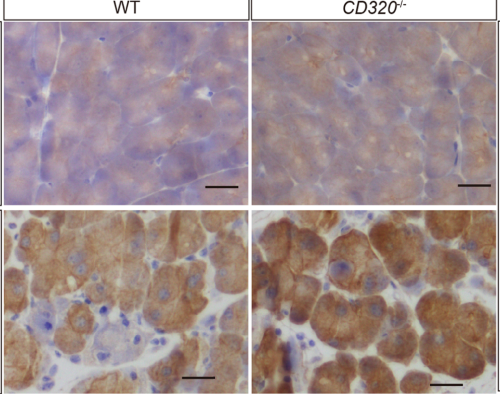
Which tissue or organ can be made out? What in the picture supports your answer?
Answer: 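Large polygonal cells with round nuclei are packed in clusters. In the lower images, the cell cytoplasm is stained brown.
Hence: pancreatic tissues.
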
